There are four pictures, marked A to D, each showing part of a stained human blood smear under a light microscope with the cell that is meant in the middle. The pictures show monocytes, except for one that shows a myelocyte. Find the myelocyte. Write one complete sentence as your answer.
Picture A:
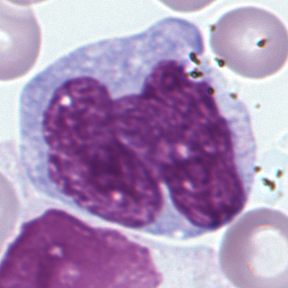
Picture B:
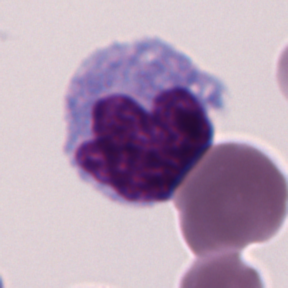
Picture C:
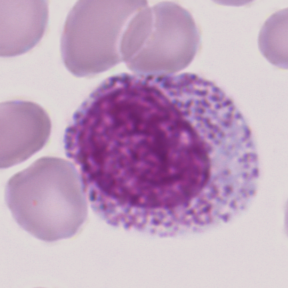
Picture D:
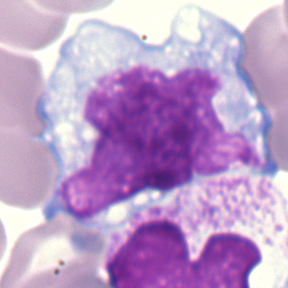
It is picture C that shows the myelocyte.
